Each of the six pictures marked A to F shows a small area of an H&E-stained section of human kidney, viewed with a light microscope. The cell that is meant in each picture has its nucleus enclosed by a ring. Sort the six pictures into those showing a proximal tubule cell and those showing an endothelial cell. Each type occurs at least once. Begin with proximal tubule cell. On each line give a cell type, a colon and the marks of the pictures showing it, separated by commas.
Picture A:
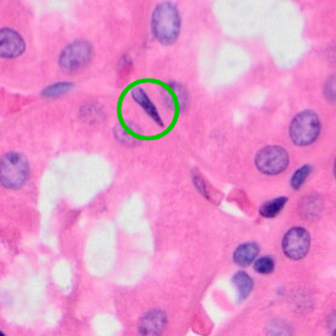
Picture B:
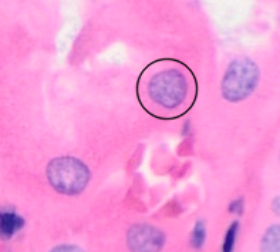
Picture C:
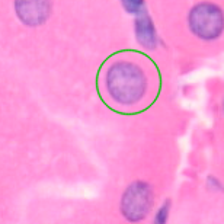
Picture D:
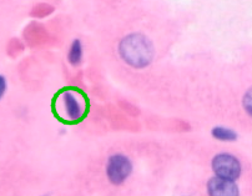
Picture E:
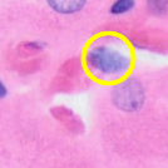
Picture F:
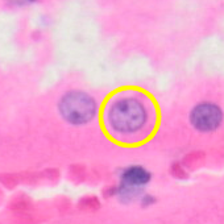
proximal tubule cell: B, C, F
endothelial cell: A, D, E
